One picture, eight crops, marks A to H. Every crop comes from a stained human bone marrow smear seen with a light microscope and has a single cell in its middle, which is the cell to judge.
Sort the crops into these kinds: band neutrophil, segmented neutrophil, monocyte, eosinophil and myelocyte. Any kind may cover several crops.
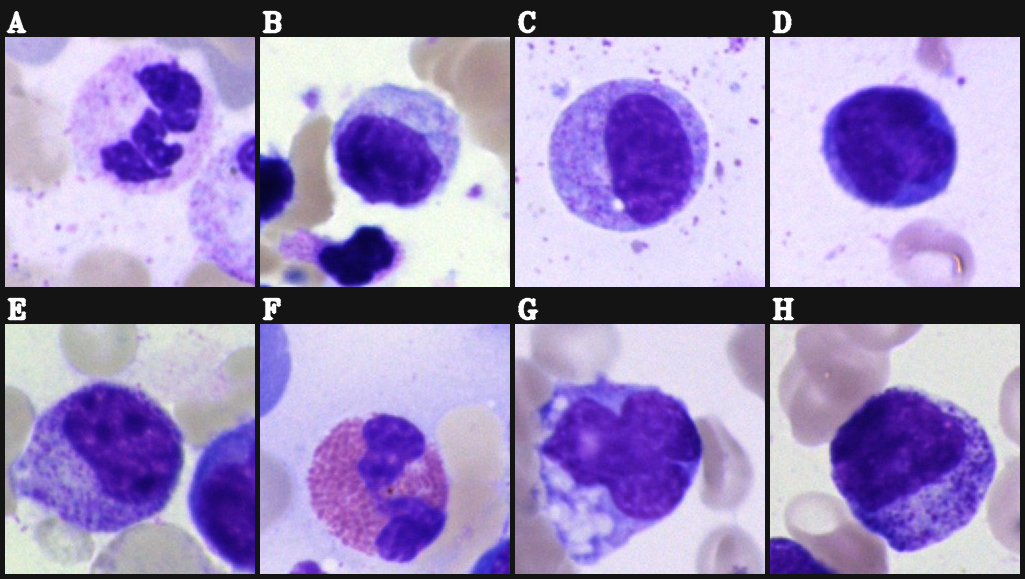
A: segmented neutrophil
B: myelocyte
C: myelocyte
D: monocyte
E: myelocyte
F: eosinophil
G: monocyte
H: myelocyte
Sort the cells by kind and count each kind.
myelocyte: 4
monocyte: 2
segmented neutrophil: 1
eosinophil: 1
